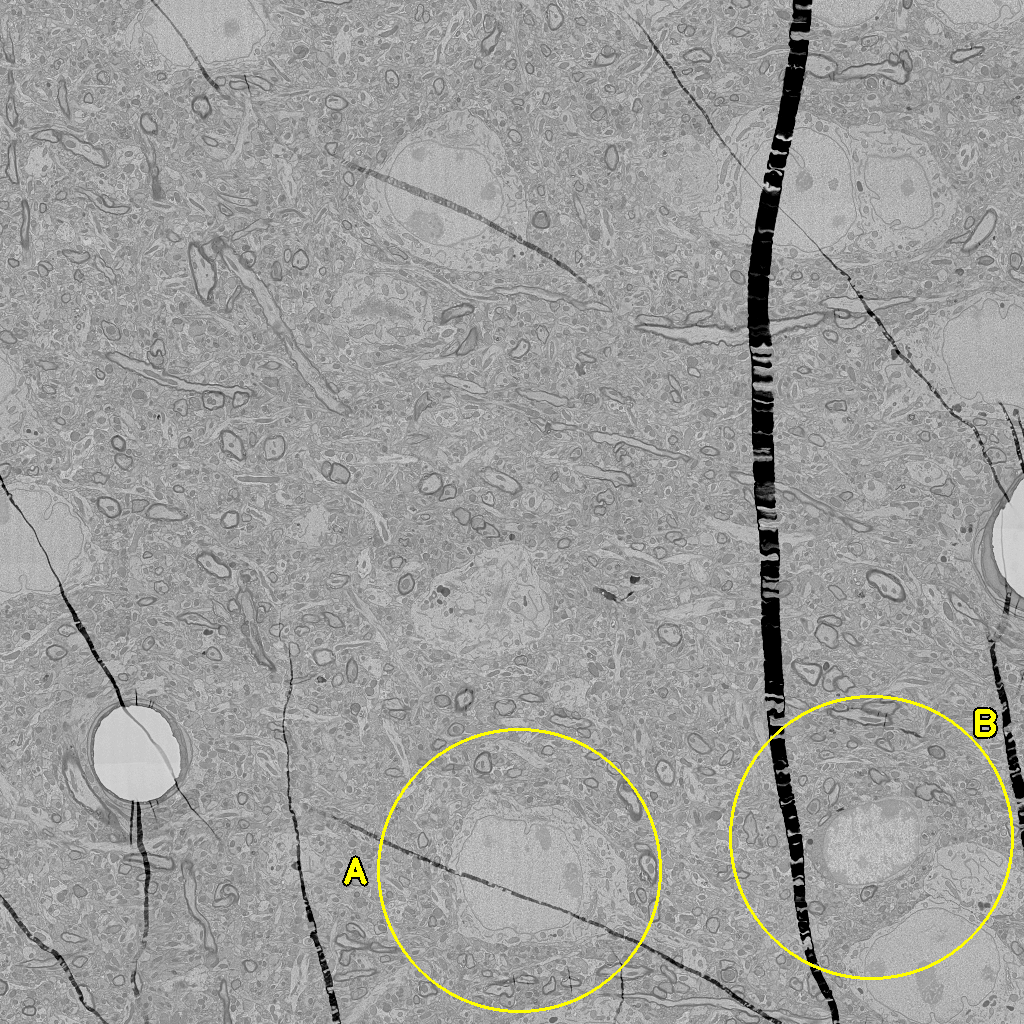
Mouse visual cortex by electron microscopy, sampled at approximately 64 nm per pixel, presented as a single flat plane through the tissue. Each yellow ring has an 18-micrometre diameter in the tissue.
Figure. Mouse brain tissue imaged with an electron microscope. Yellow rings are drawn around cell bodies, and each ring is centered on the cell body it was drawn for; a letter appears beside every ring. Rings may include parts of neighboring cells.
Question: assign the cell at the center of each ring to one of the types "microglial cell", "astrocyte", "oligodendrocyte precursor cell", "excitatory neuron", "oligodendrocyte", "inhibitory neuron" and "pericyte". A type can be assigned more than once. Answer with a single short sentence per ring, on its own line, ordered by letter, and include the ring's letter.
Centered in ring A is an excitatory neuron.
Centered in ring B is an oligodendrocyte.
